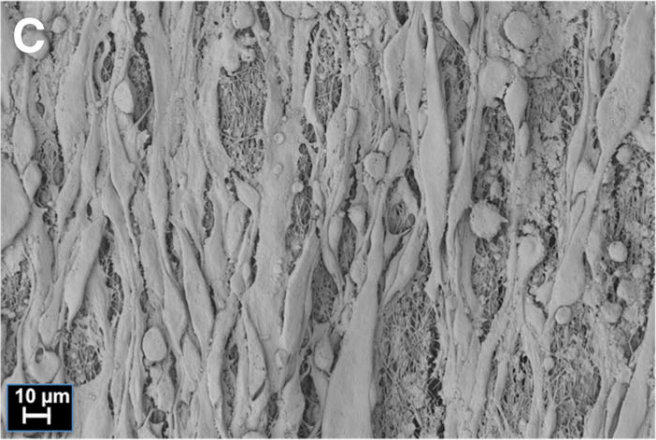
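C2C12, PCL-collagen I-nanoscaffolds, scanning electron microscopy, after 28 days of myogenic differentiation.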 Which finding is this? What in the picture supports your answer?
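Nearly all elongated cells are oriented in the same vertical direction. Gaps between cells are also elongated in the same direction. That points to this answer: parallel alignment.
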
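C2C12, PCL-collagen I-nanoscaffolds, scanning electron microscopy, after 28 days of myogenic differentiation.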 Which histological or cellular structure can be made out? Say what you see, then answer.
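Long, elongated cell bodies run vertically across the field. Several elongated cells lie side by side in bundles. That points to this answer: myotube-like structures.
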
